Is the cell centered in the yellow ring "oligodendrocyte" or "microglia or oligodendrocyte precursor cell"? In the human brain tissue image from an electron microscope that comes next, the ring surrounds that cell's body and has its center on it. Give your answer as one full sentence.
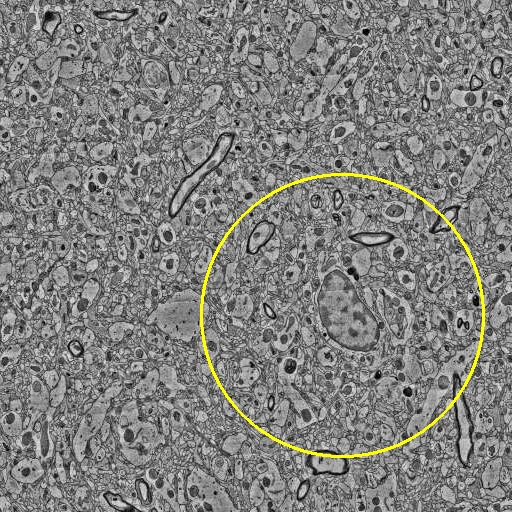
The cell at the center of the yellow ring is a microglial cell or oligodendrocyte precursor cell in the micrograph.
